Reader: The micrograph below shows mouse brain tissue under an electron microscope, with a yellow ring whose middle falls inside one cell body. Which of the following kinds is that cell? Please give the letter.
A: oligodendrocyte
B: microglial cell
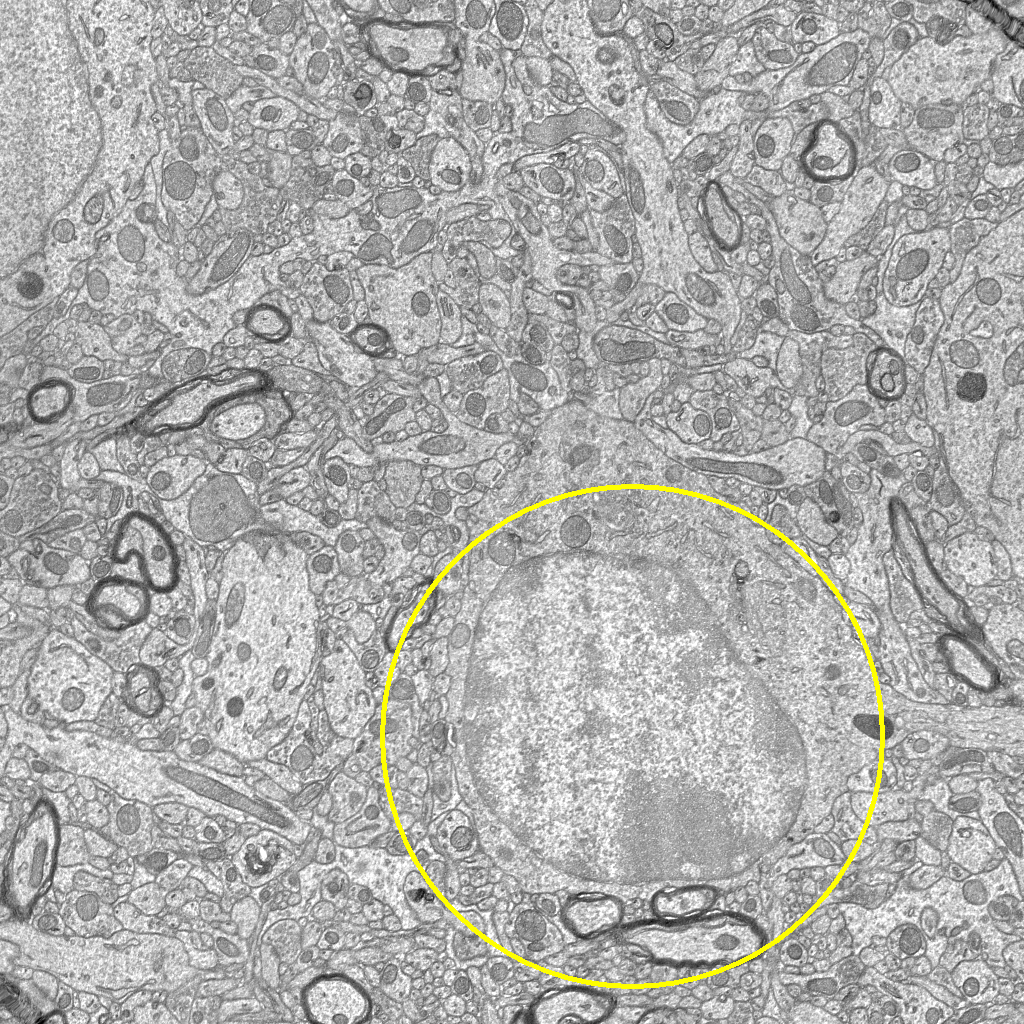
A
